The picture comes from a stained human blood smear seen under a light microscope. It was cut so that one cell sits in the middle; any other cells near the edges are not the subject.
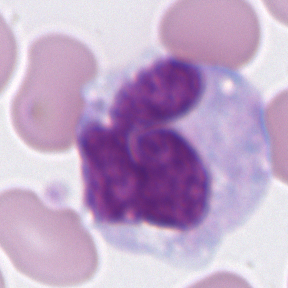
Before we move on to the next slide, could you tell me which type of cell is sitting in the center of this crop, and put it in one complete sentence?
In the centre of this crop there is a monocyte.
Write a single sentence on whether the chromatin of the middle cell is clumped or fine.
There is no coarse clumping; the chromatin stays fine throughout.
